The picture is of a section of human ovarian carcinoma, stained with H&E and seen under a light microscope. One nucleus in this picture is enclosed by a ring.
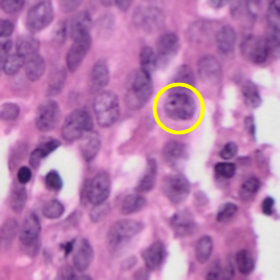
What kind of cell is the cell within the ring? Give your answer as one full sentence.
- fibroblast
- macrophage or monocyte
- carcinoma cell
It is a macrophage or monocyte that the cell within the ring represents.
